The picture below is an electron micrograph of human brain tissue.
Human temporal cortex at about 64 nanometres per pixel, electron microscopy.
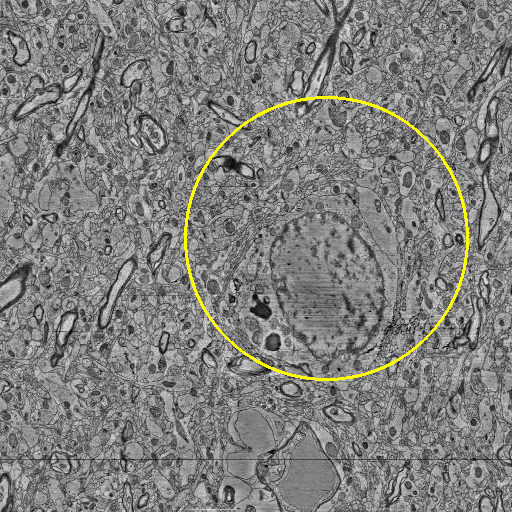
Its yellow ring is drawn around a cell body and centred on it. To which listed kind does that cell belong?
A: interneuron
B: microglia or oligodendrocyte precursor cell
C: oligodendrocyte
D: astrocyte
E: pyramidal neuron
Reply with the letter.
A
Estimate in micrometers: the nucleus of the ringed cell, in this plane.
In this plane the nucleus spans approximately 10 by 7 micrometers.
